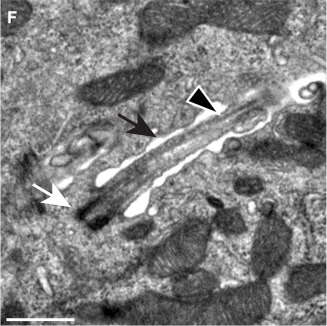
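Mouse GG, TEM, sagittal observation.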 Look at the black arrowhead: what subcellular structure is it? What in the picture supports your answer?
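Axoneme. The black arrowhead lies on a long slender rod with parallel dark lines running along it.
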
